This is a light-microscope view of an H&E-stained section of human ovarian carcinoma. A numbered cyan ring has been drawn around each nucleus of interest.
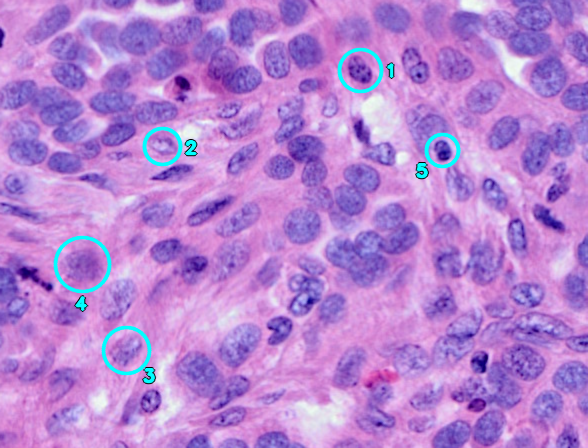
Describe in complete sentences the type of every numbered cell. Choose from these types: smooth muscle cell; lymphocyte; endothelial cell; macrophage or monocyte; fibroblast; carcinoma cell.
Cell 1 is a macrophage or monocyte. Cells 2, 3 and 4 are fibroblasts. Cell 5 is a lymphocyte.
